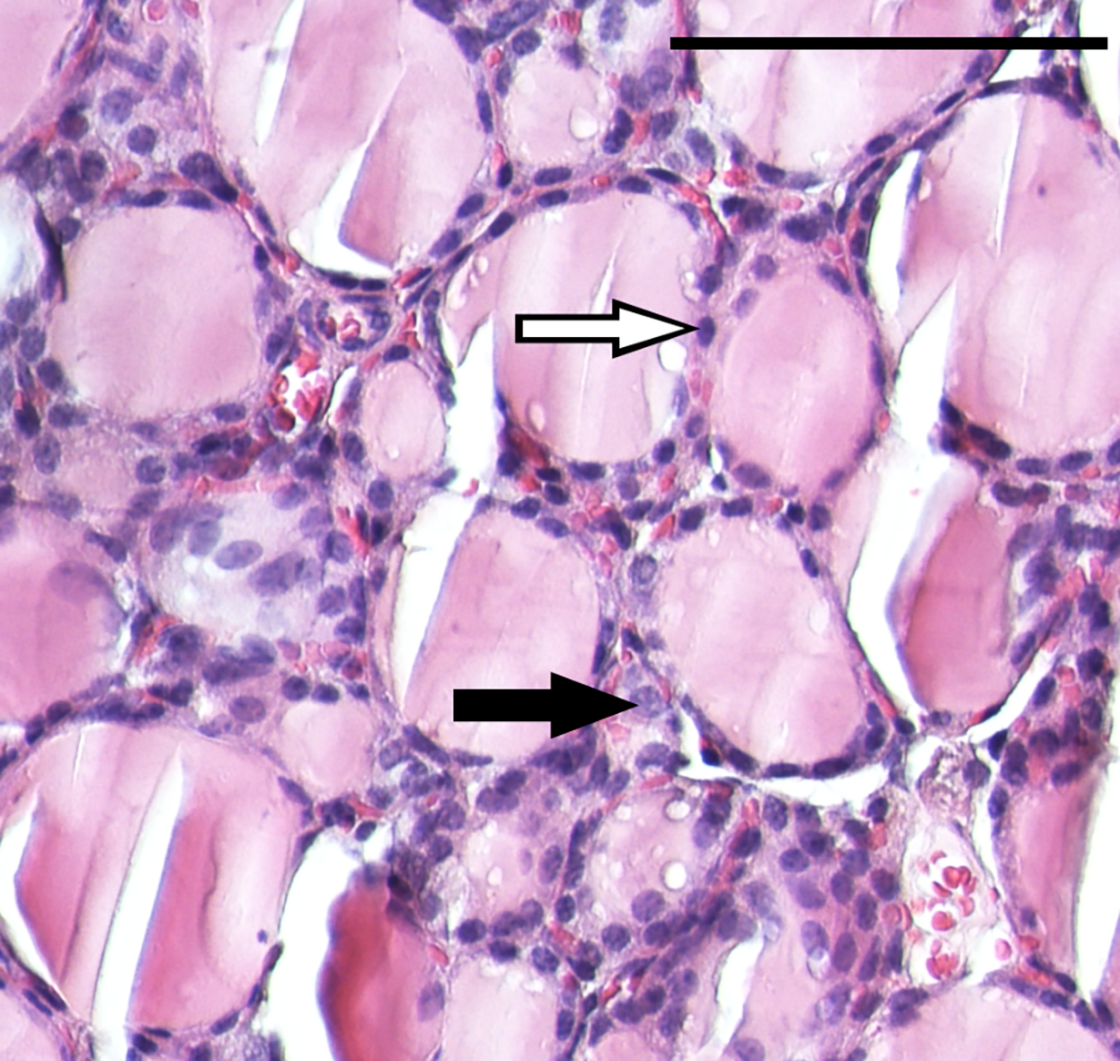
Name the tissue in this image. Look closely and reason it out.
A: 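Round follicles of varying size filled with homogeneous pink material. Each follicle is lined by a single layer of flattened to low cuboidal cells. Thin tissue between follicles holds small vessels with red blood cells.
Answer: thyroid tissue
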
